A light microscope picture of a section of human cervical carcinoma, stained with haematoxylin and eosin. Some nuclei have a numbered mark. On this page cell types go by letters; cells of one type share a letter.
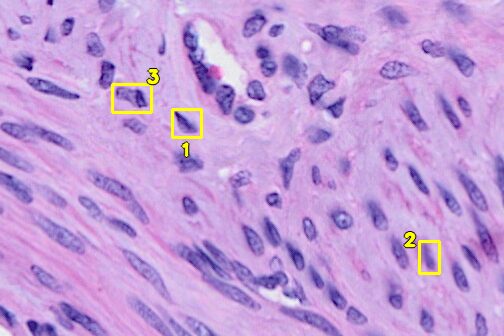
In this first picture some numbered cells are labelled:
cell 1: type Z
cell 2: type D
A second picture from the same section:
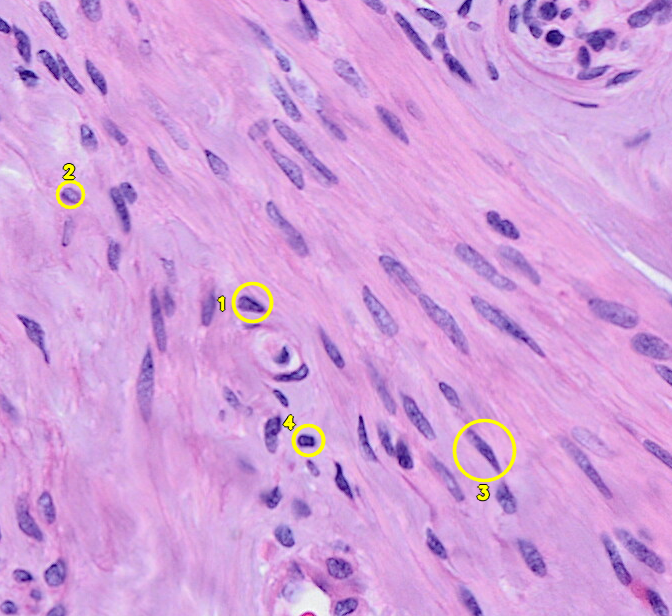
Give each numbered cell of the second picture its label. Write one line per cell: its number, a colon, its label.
1: type Z
2: type D
3: type Z
4: type Z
